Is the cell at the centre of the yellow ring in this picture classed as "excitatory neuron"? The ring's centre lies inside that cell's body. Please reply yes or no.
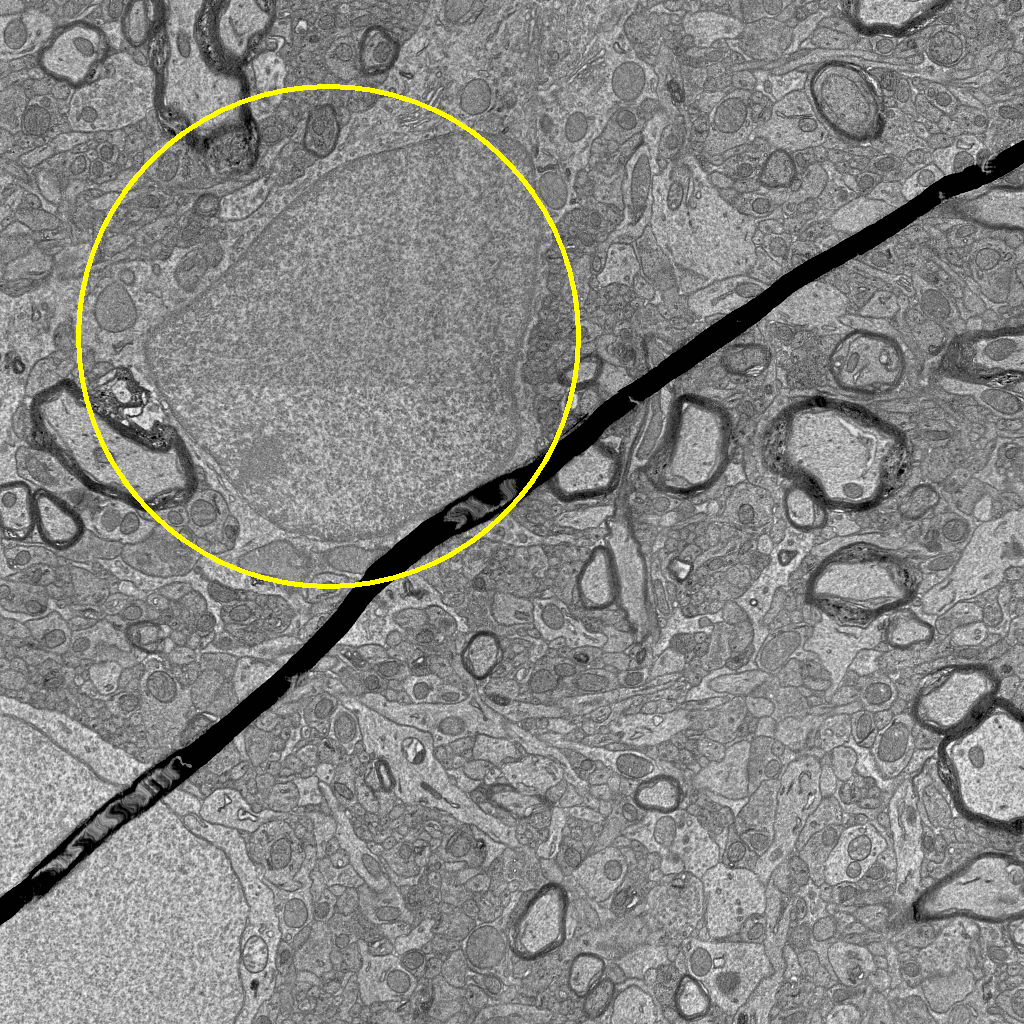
No, it is of another kind.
